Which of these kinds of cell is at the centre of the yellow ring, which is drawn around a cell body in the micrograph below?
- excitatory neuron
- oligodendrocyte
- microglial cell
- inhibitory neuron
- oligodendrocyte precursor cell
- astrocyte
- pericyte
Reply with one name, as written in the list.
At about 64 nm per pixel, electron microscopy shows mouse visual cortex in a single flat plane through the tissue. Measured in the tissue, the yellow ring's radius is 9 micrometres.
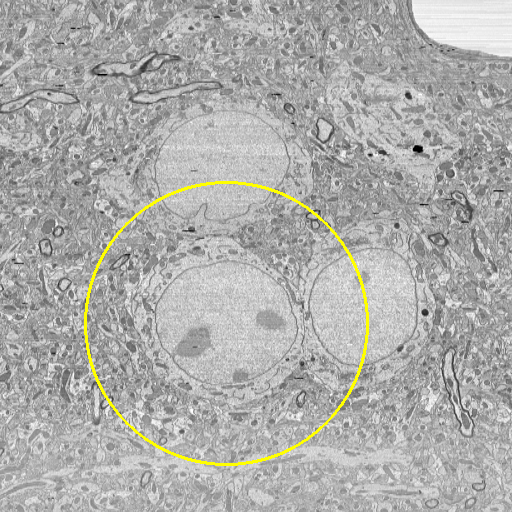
excitatory neuron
